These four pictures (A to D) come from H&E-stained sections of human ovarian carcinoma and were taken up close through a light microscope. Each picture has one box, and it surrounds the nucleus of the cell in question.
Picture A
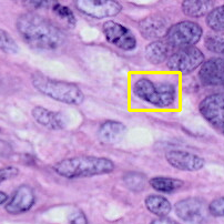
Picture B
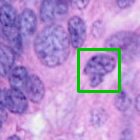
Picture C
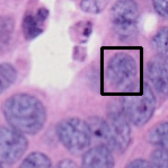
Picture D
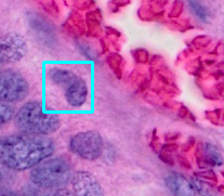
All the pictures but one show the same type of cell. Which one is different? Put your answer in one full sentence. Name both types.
The different one is picture C; it shows a carcinoma cell, whereas all the others show “macrophages or monocytes”.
